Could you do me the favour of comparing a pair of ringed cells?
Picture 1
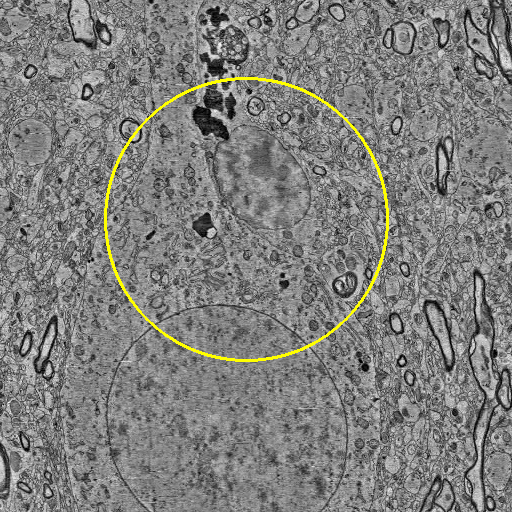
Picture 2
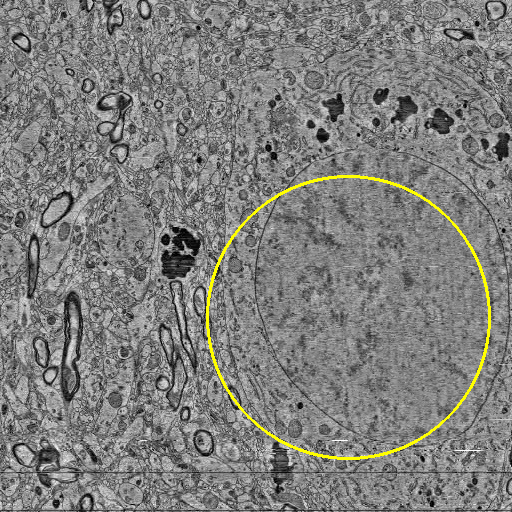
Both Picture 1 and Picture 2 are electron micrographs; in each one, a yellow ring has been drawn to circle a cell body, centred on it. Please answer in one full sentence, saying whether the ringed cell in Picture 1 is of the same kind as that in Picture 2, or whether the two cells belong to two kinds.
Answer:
The ringed cells in Picture 1 and Picture 2 belong to two kinds.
